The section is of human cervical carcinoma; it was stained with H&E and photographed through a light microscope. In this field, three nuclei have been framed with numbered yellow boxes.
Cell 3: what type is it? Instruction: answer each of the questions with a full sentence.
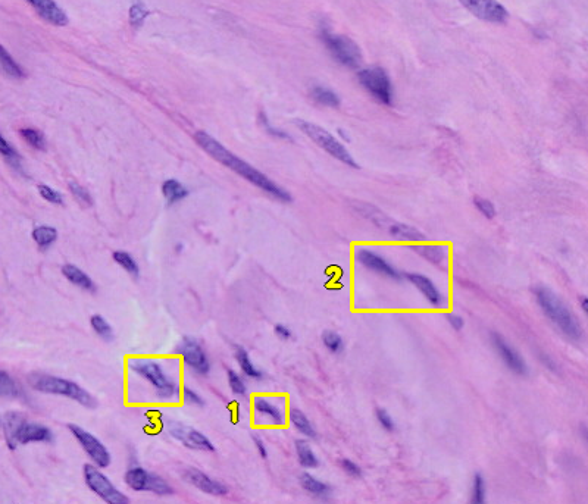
Marked with the number 3, this cell is a fibroblast.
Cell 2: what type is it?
The correct label for cell 2 is a fibroblast.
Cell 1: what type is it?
The cell indicated with the number 1 is classed as a smooth muscle cell.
